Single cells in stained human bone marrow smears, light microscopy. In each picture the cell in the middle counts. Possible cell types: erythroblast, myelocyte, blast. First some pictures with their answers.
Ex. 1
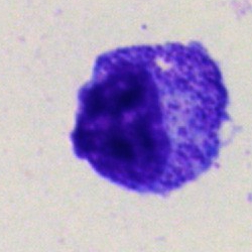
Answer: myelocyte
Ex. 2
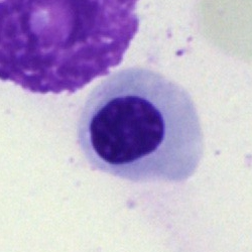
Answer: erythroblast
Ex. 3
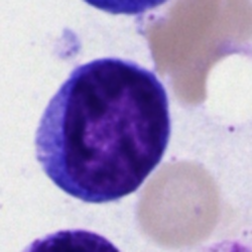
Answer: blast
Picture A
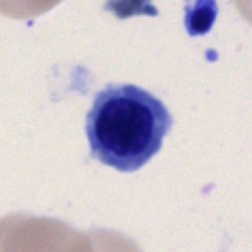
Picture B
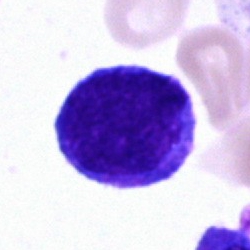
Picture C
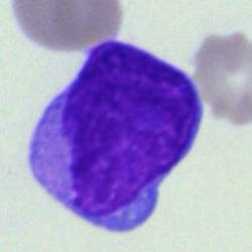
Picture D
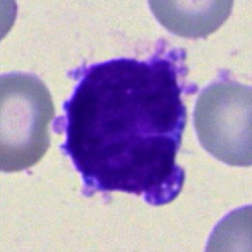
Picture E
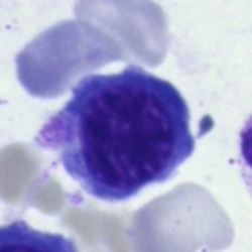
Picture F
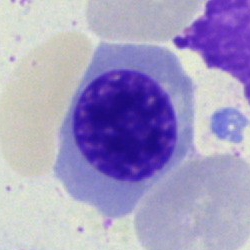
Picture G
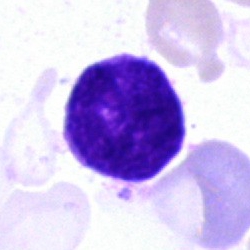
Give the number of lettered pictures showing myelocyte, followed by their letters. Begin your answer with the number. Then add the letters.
0, none of them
